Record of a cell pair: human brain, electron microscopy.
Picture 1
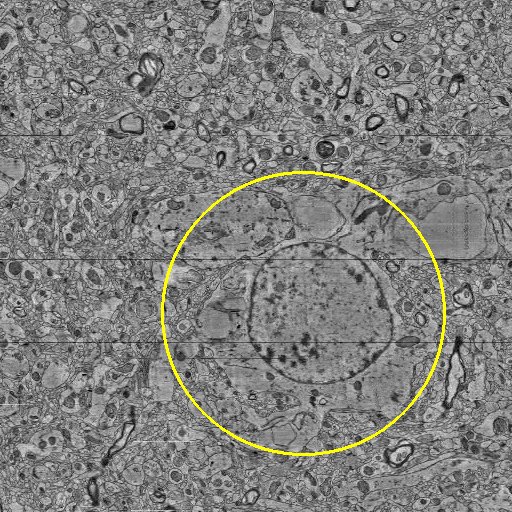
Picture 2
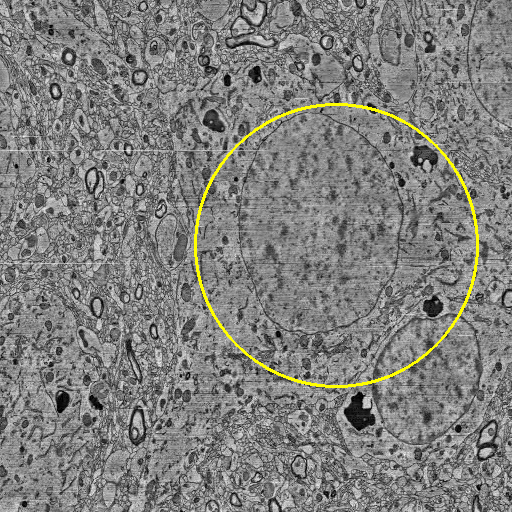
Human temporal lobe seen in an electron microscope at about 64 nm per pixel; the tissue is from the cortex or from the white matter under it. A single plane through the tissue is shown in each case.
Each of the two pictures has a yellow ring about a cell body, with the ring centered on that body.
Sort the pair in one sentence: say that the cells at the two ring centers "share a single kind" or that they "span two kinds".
The cells centered in the rings of Pictures 1 and 2 span two kinds.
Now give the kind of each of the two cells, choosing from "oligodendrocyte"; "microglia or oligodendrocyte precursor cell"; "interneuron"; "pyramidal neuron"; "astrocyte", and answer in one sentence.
The cell in the first picture is an astrocyte, and the cell in the second is a pyramidal neuron.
